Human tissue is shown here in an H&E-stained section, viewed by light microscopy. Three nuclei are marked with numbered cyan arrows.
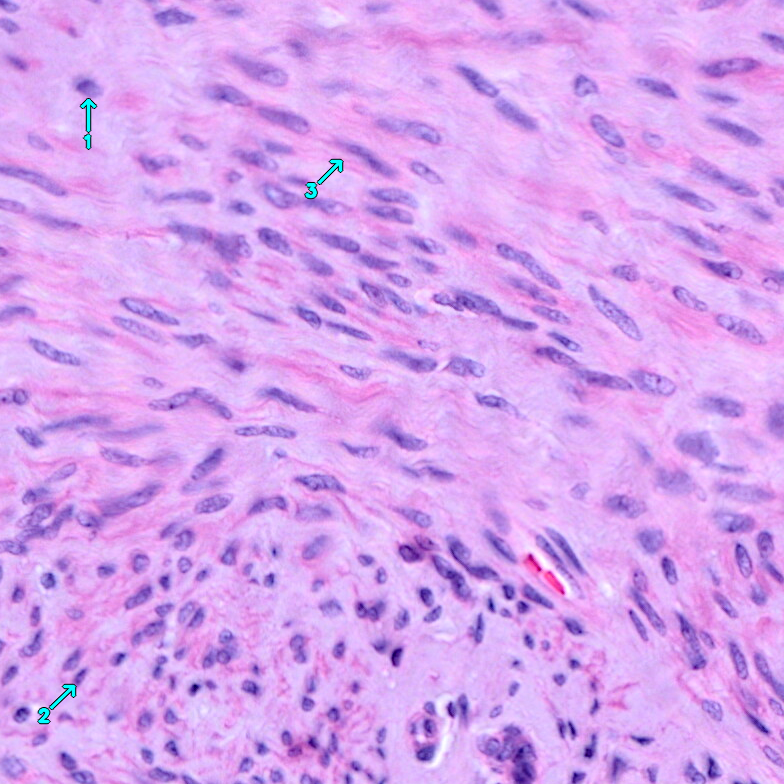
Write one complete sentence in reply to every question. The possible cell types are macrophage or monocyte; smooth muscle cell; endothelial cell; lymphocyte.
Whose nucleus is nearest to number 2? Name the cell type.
The nucleus nearest to number 2 is that of a smooth muscle cell.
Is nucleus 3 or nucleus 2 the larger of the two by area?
It is nucleus 3, which covers about 3 times the area of nucleus 2.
